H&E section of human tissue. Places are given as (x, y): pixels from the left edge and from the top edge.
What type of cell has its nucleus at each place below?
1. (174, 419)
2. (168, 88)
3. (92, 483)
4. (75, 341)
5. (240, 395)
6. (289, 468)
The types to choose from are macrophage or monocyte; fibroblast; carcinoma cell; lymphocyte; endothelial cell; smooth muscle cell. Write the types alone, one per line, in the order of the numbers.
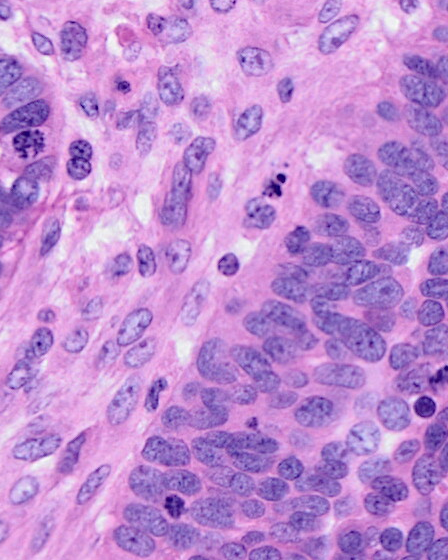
carcinoma cell
fibroblast
fibroblast
fibroblast
carcinoma cell
carcinoma cell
